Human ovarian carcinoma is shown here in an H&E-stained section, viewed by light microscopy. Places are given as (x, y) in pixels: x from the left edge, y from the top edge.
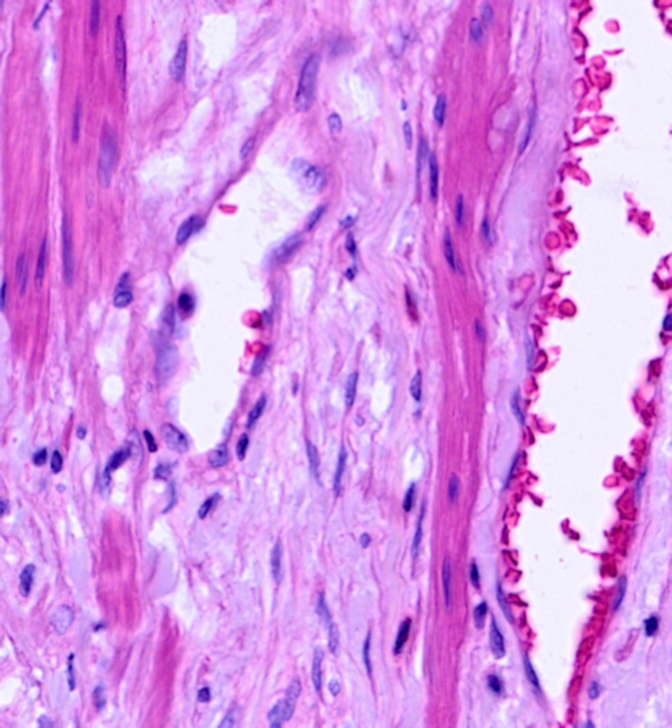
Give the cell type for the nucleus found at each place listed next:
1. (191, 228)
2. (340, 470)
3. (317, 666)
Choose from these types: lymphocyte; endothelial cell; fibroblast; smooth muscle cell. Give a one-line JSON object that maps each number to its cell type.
{"1": "endothelial cell", "2": "fibroblast", "3": "fibroblast"}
